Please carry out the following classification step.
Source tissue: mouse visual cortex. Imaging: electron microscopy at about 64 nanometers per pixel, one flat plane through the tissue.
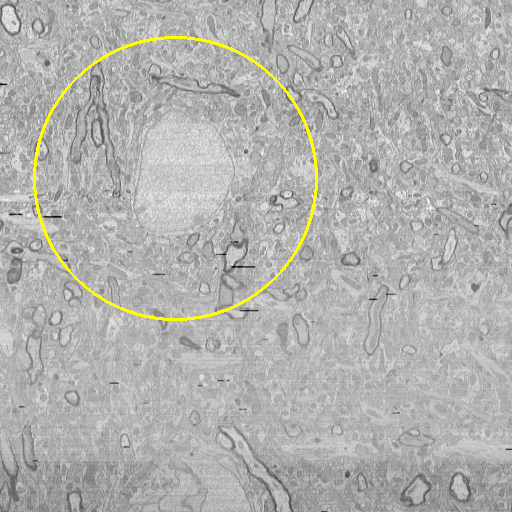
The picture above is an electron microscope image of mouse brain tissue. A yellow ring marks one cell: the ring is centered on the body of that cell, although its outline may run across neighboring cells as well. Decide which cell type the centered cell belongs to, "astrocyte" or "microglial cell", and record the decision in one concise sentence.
The cell centered in the yellow ring is an astrocyte.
